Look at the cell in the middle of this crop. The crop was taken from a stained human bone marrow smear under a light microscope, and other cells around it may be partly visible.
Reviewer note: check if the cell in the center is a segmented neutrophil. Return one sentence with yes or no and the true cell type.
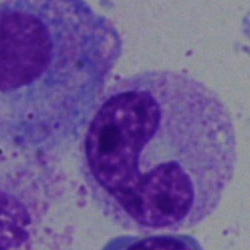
No, in the middle of the crop there is a band neutrophil rather than a segmented neutrophil.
